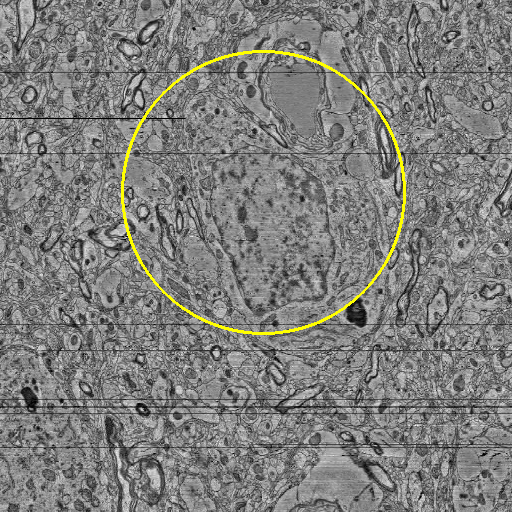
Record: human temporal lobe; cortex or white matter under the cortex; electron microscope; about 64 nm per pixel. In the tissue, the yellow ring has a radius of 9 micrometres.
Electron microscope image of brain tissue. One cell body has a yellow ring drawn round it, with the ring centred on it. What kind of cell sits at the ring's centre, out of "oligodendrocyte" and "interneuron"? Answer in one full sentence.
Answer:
It is an interneuron whose cell body sits at the centre of the yellow ring.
